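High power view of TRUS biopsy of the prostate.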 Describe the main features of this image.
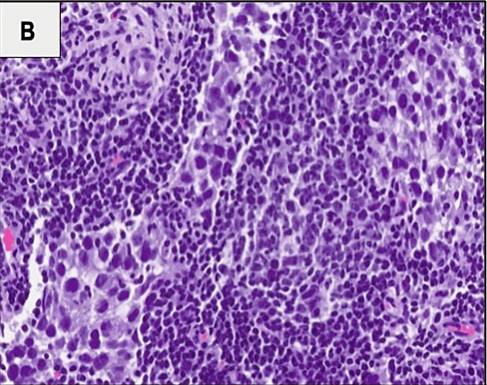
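Sheets of large cells with pale to clear cytoplasm and large nuclei are mixed with many small round cells whose nuclei are dense and dark purple with hardly any cytoplasm. The large pale cells are infiltrating tumor cells growing in sheets, and the small dark cells are small lymphocytes admixed among them.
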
